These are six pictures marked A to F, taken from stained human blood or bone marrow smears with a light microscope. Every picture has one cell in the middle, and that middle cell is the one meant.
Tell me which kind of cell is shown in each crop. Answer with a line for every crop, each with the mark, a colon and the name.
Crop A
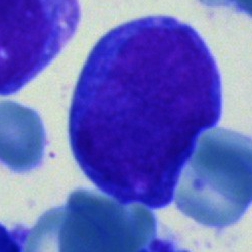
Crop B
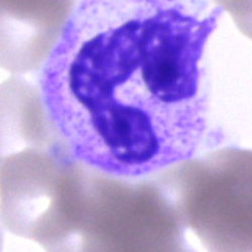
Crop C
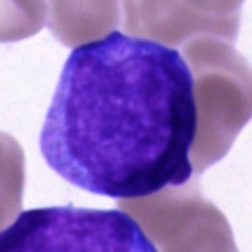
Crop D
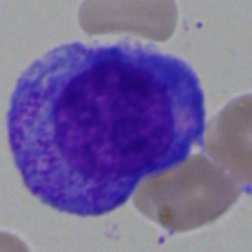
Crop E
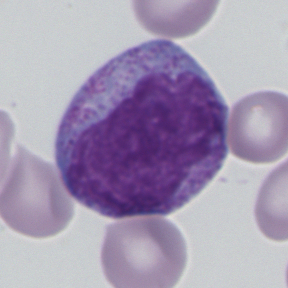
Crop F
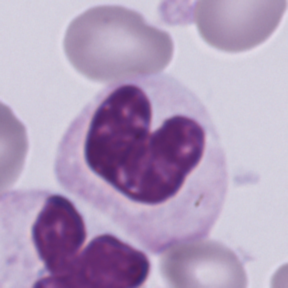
A: blast
B: band neutrophil
C: blast
D: promyelocyte
E: promyelocyte
F: band neutrophil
